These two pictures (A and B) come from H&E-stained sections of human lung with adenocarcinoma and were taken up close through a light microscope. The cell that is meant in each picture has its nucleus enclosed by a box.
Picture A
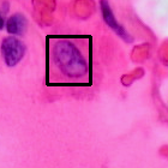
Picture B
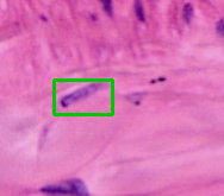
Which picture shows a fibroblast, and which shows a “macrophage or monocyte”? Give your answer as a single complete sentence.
Picture A shows a “macrophage or monocyte” and picture B shows a fibroblast.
